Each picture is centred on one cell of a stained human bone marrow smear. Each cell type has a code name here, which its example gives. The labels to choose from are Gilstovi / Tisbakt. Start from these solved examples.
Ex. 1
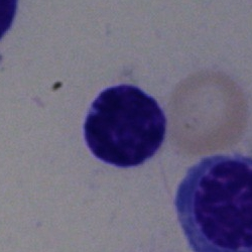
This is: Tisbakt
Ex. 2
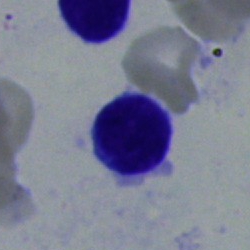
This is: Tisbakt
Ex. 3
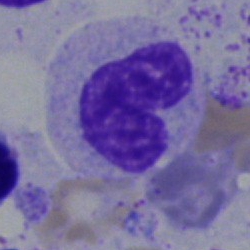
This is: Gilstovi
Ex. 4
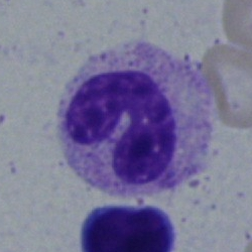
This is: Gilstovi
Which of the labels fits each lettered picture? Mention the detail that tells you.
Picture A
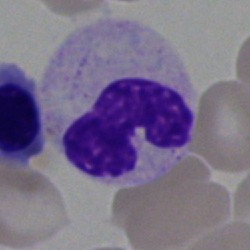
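Gilstovi. Evidence: The cytoplasm is abundant and pale lilac-grey.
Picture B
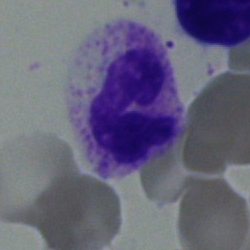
Gilstovi. Evidence: The nucleus is a curved band that is deeply indented and folded on itself.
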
